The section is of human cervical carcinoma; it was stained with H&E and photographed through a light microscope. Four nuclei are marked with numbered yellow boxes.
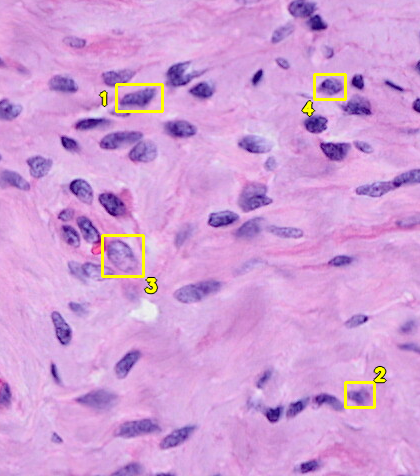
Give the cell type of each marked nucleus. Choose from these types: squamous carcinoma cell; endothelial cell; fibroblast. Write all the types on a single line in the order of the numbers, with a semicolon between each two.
fibroblast; fibroblast; endothelial cell; fibroblast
